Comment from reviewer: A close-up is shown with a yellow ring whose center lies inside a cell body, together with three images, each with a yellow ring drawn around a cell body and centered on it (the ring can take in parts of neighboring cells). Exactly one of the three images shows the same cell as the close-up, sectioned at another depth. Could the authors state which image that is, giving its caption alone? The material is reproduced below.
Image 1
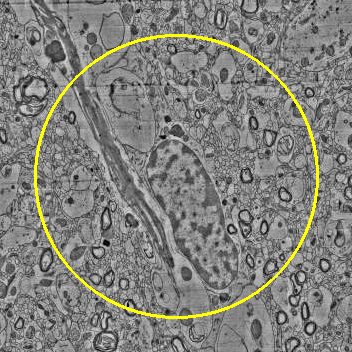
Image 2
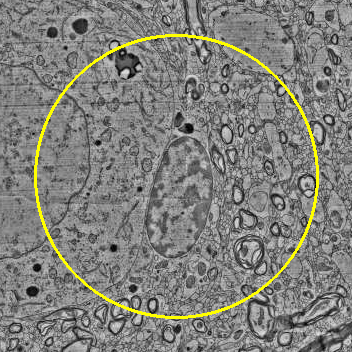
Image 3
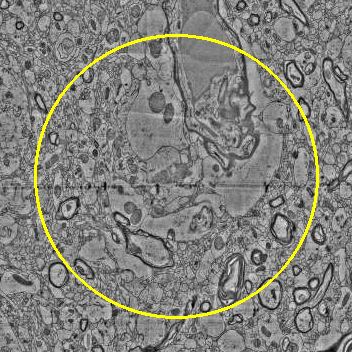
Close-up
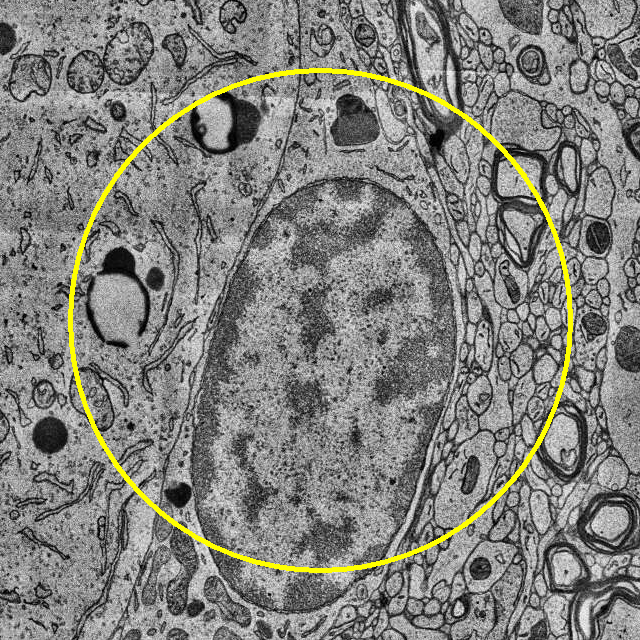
Image 2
